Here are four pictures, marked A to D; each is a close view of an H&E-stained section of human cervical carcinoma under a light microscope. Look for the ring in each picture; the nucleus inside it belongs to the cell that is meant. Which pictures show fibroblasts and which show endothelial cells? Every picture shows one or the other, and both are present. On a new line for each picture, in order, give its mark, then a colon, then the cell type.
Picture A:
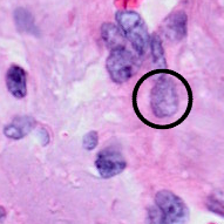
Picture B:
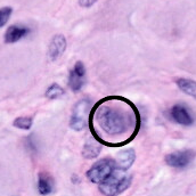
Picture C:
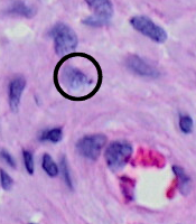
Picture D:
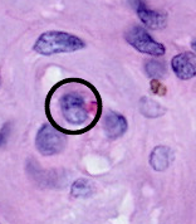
A: endothelial cell
B: endothelial cell
C: fibroblast
D: endothelial cell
